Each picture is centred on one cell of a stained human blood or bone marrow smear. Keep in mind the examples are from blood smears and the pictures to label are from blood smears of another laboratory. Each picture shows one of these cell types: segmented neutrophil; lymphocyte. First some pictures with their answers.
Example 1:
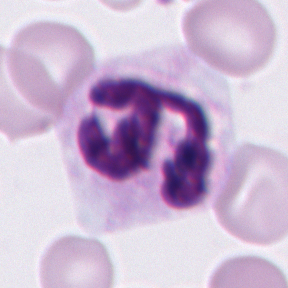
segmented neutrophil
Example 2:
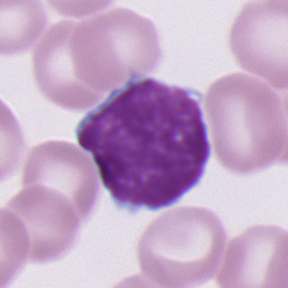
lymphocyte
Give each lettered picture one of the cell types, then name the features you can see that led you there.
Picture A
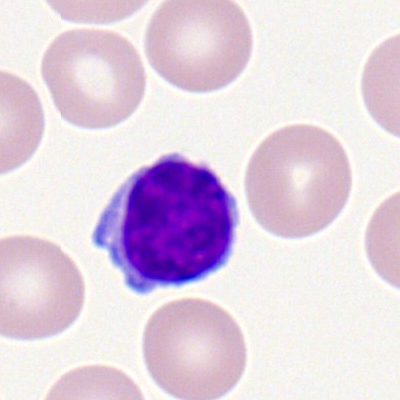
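lymphocyte: The nucleus fills almost the whole cell, leaving only a scant rim of cytoplasm.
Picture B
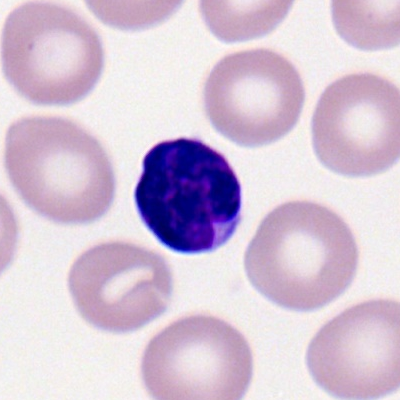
lymphocyte: The nucleus fills almost the whole cell.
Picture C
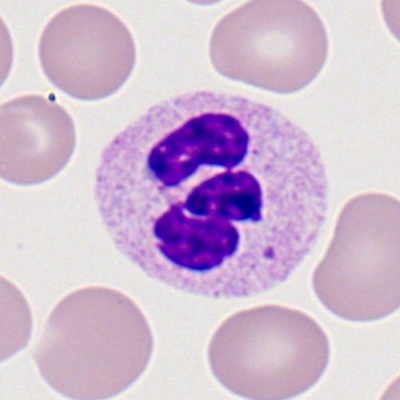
segmented neutrophil: The cytoplasm is abundant and pale pinkish-lilac.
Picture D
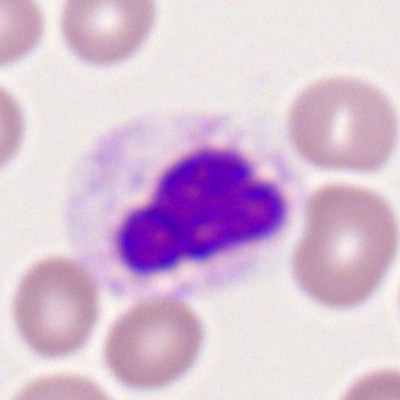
segmented neutrophil: The cytoplasm is plentiful and pale pink-lilac.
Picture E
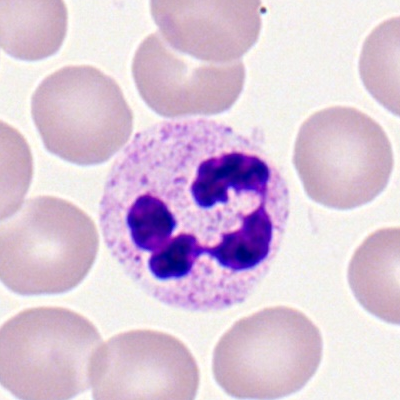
segmented neutrophil: The nuclear lobes are arranged in a curving chain around the centre of the cell.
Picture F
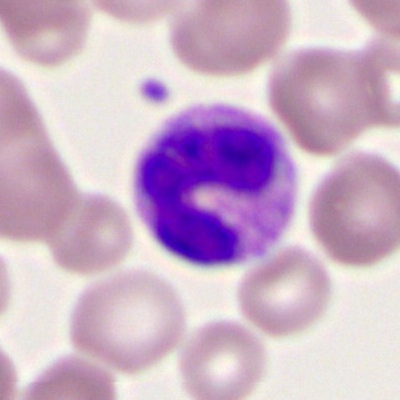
segmented neutrophil: The nucleus is a curved band bent into a C shape around a paler central area.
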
